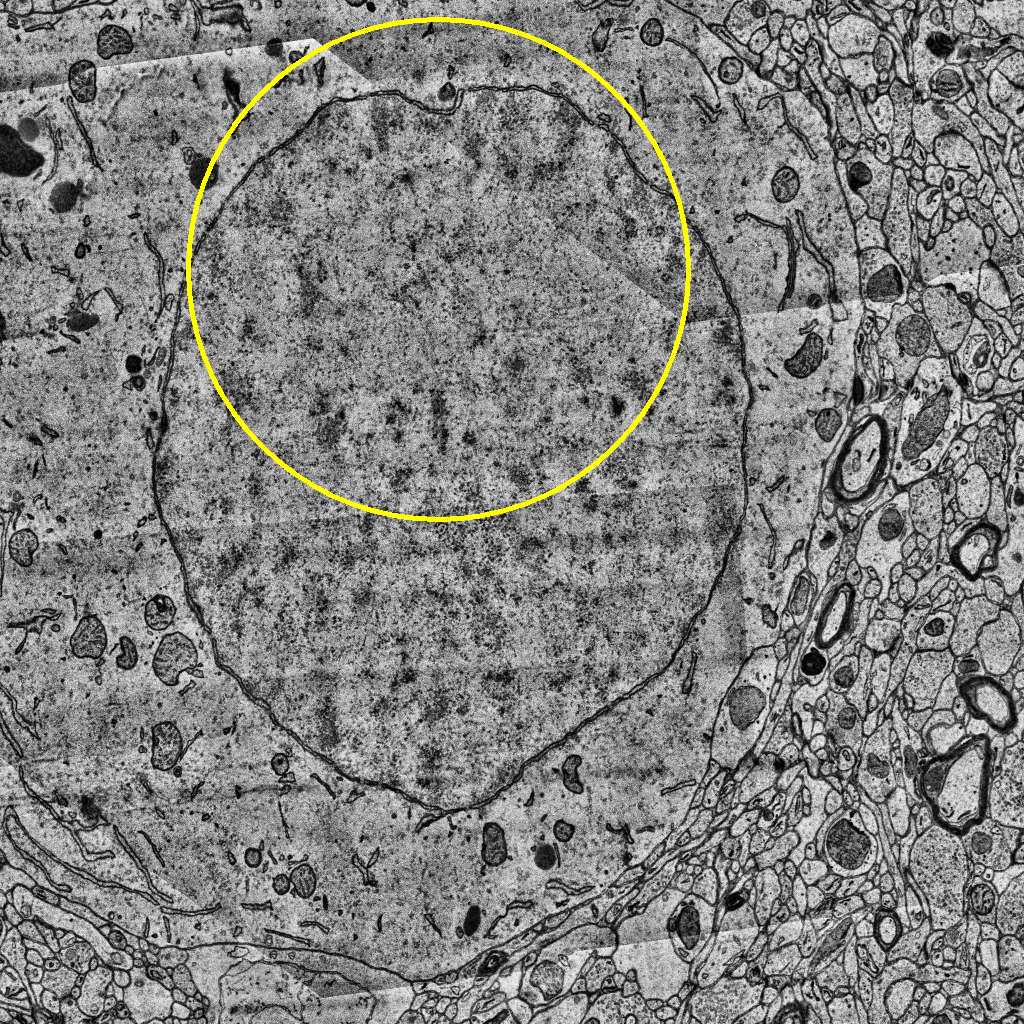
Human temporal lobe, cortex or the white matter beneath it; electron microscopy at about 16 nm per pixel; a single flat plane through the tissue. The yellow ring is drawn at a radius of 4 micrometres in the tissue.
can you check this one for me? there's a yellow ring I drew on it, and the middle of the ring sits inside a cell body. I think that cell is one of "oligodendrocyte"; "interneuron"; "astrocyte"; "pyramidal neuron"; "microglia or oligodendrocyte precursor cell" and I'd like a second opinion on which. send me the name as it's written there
pyramidal neuron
